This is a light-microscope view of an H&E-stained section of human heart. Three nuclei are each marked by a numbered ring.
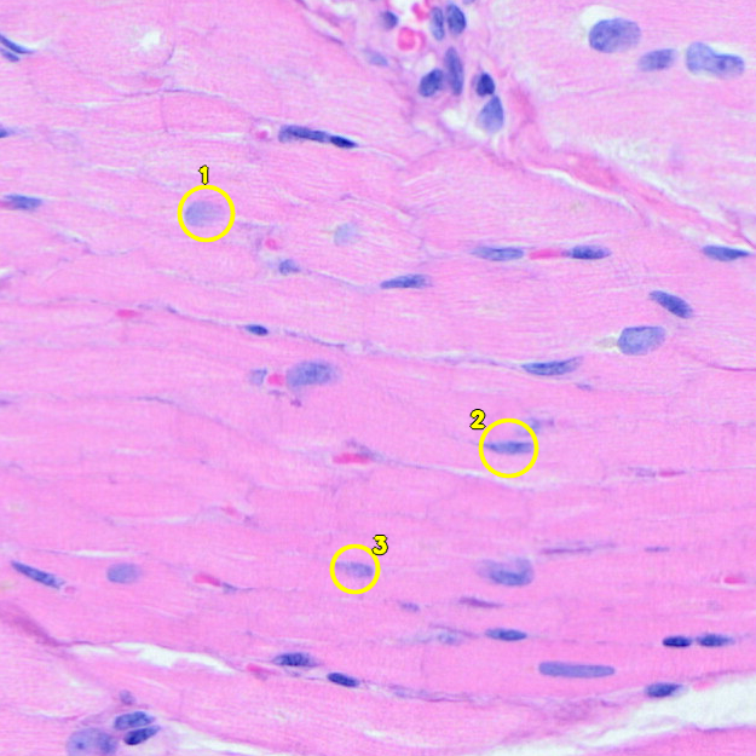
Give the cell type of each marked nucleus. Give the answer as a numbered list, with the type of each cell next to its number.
1. cardiomyocyte
2. fibroblast
3. fibroblast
